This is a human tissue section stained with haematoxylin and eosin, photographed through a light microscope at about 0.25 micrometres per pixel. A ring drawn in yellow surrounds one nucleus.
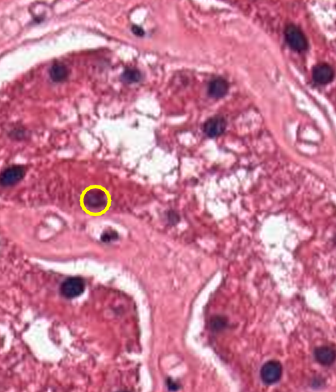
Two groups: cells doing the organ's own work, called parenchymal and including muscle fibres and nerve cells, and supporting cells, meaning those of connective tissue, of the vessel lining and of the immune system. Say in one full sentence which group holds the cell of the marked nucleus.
The marked nucleus is attributed to a parenchymal cell, namely a proximal tubule cell.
